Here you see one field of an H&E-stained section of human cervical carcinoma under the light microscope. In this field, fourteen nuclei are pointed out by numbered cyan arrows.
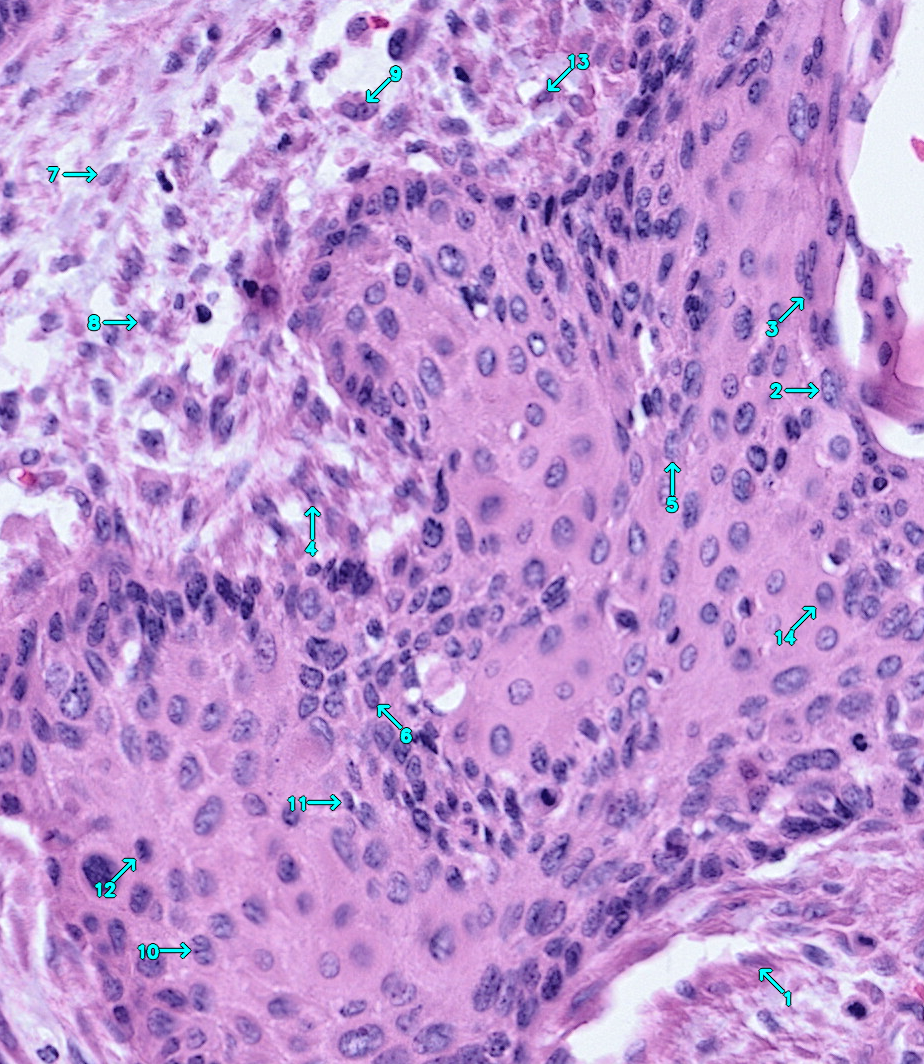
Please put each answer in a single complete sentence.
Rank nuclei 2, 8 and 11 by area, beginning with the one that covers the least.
Smallest first, the nuclei run 11, 8, 2.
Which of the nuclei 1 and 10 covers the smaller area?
The smaller nucleus is 1, and 10 covers roughly 1.5 times its area.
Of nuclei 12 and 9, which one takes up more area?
Nucleus 9 is the larger one, covering about 2 times the area of nucleus 12.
